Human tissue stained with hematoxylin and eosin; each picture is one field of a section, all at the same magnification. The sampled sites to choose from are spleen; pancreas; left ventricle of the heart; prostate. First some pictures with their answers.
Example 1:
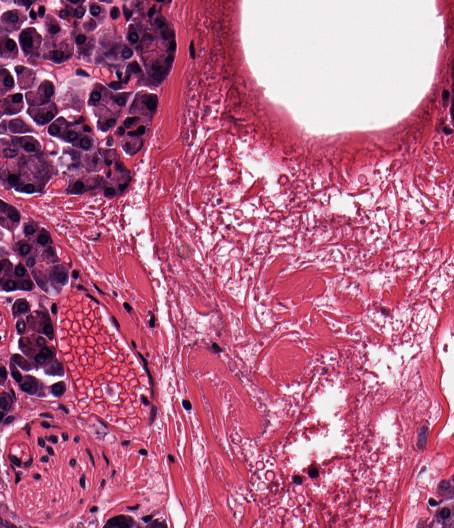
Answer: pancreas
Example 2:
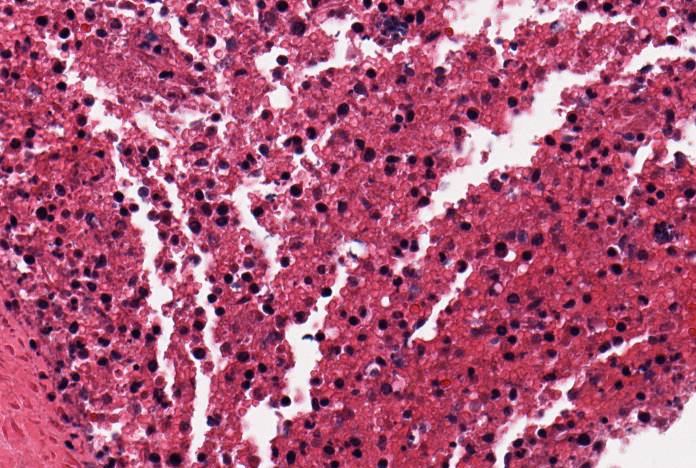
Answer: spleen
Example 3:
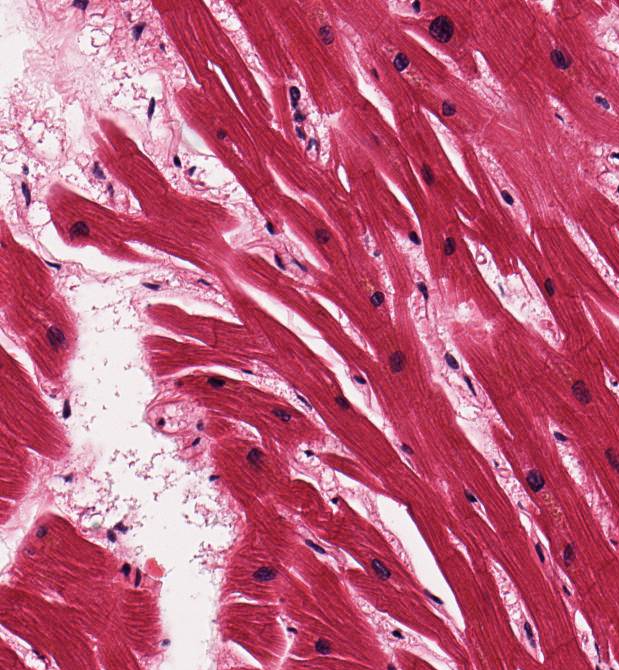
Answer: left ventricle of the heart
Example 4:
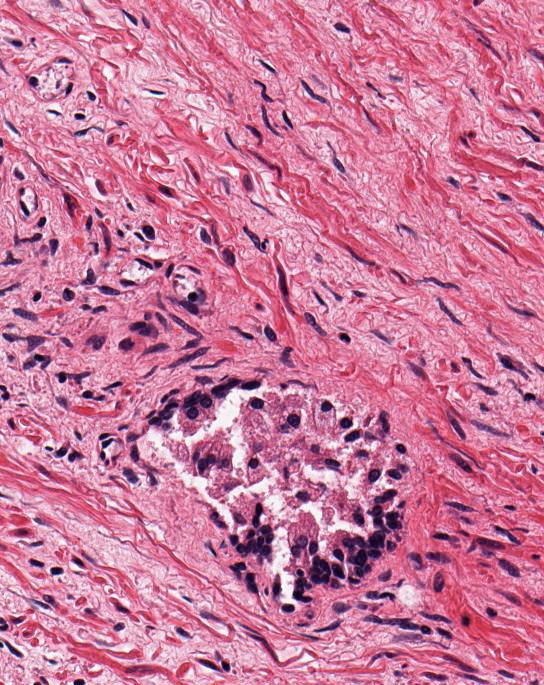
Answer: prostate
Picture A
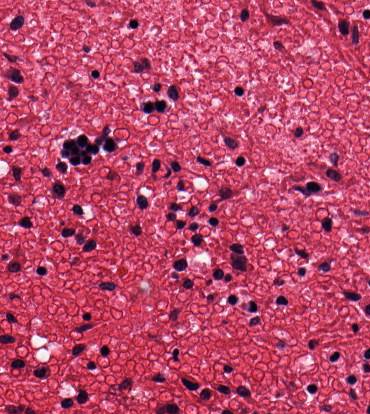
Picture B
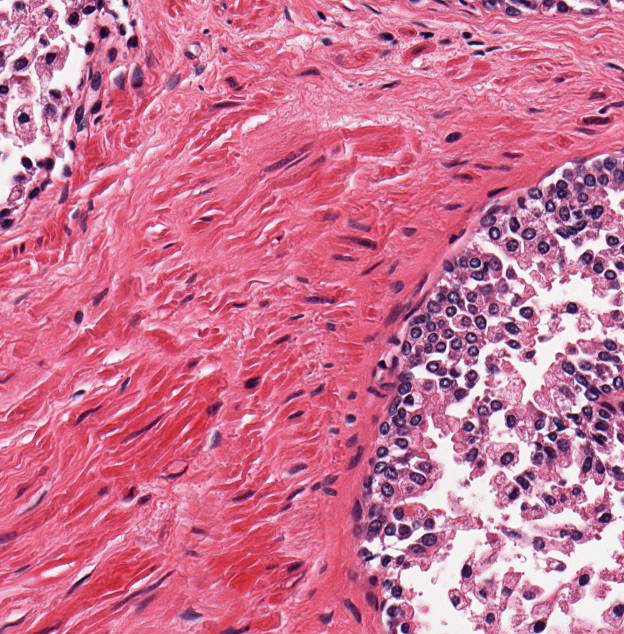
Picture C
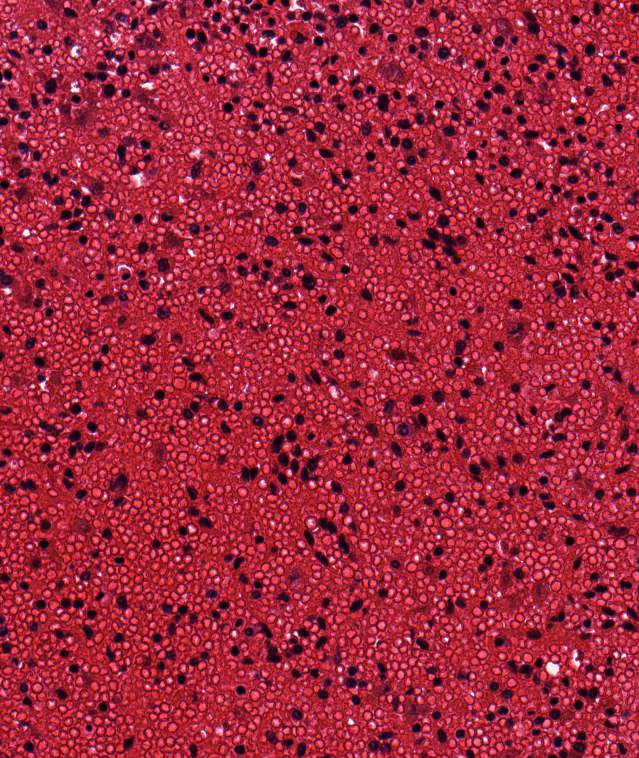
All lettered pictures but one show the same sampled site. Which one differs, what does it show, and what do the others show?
B (prostate) is the exception; every other picture is spleen.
